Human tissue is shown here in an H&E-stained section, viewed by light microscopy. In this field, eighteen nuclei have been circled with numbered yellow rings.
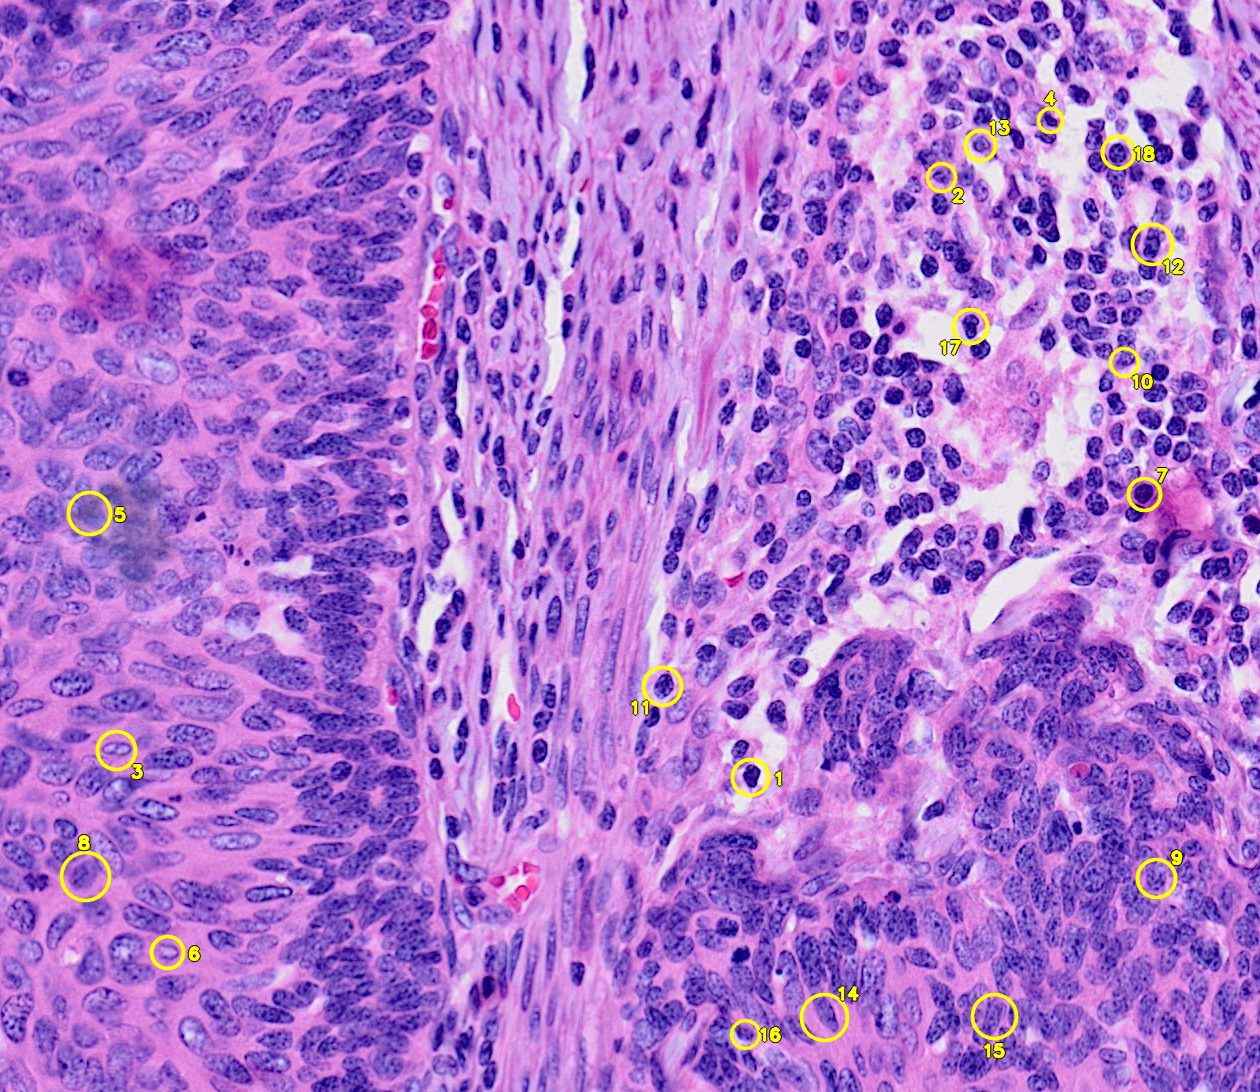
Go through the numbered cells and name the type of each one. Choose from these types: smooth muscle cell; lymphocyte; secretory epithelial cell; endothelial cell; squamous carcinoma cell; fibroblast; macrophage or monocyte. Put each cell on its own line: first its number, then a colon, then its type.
1: lymphocyte
2: lymphocyte
3: squamous carcinoma cell
4: lymphocyte
5: squamous carcinoma cell
6: squamous carcinoma cell
7: lymphocyte
8: squamous carcinoma cell
9: squamous carcinoma cell
10: lymphocyte
11: lymphocyte
12: lymphocyte
13: lymphocyte
14: squamous carcinoma cell
15: squamous carcinoma cell
16: squamous carcinoma cell
17: lymphocyte
18: lymphocyte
